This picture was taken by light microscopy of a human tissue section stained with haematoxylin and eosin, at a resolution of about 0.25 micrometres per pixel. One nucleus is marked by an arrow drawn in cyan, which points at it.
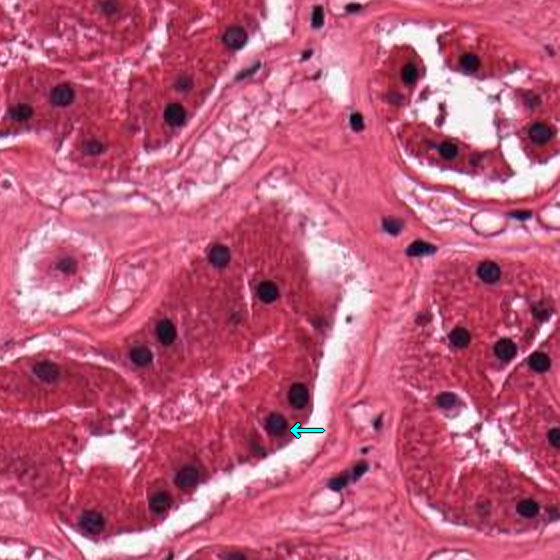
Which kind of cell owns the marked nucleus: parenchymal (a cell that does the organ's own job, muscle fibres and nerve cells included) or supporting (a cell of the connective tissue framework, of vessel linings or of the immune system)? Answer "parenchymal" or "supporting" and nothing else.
parenchymal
